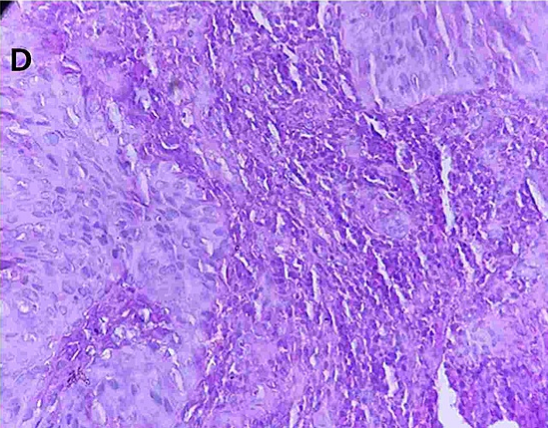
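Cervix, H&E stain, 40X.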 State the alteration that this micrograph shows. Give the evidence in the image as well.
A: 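Dense lymphomononuclear infiltrate. Pale nests of large cells are separated by bands packed with small dark round nuclei.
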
